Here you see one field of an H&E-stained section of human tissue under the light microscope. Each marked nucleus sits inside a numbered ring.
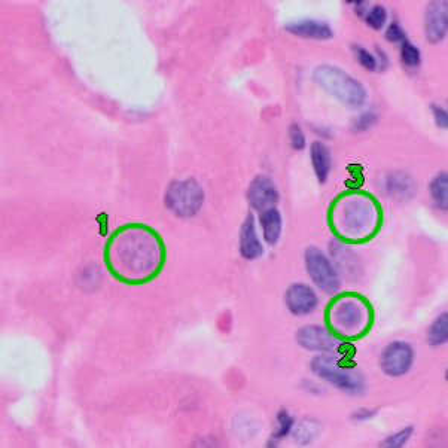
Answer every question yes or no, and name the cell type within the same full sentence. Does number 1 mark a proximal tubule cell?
Yes, so the cell at label 1 is a proximal tubule cell.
